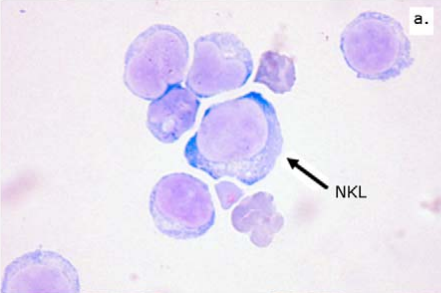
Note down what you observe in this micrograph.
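A cluster of blood mononuclear cells, mostly lymphocytes, lies on a pale background. Most cells are round, with a large round pale purple nucleus that fills much of the cell and a thin rim of cytoplasm. One larger lymphocyte in the centre has a round nucleus and a crescent of blue cytoplasm on one side. Several neighbouring cells show a similar blue-tinged cytoplasmic rim. Separate round cells sit apart at the upper right and lower left.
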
